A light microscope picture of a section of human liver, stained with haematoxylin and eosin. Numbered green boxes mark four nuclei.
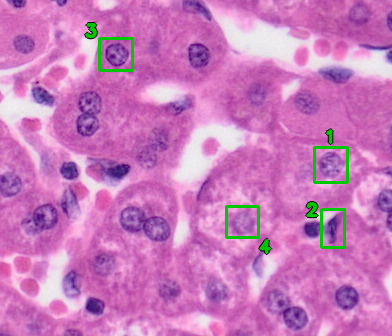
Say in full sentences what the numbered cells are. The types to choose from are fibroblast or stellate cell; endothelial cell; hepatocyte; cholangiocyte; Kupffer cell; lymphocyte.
Cell 1 is a hepatocyte, cell 2 is an endothelial cell, cell 3 is a hepatocyte and cell 4 is a hepatocyte.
